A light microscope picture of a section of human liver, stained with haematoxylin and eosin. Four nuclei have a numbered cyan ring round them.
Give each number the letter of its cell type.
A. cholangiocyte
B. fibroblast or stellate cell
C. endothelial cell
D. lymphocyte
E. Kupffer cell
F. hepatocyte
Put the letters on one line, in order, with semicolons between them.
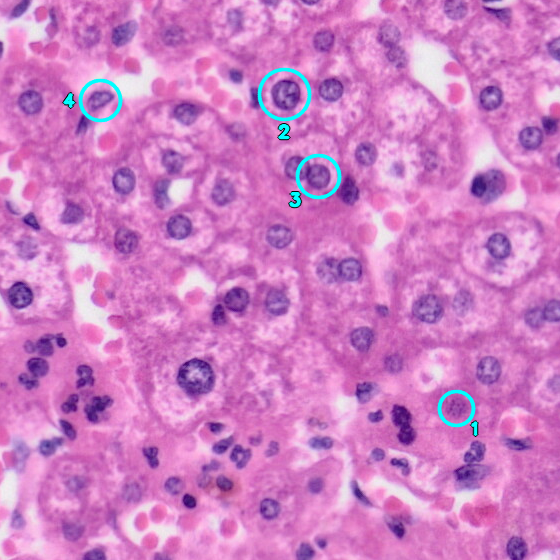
F; F; F; E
